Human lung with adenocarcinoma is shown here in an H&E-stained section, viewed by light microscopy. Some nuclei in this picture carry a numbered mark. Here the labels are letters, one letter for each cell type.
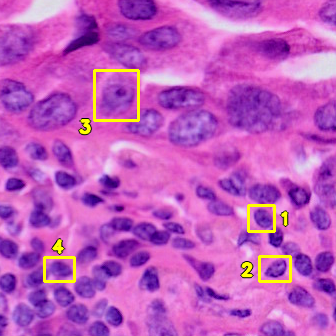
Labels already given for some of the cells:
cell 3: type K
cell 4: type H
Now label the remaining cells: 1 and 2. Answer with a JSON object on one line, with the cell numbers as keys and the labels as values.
{"1": "type H", "2": "type H"}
